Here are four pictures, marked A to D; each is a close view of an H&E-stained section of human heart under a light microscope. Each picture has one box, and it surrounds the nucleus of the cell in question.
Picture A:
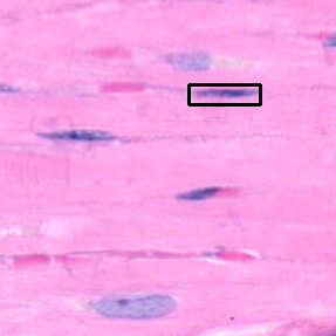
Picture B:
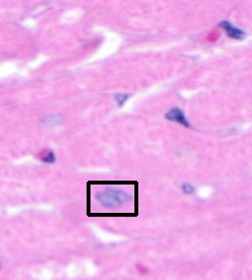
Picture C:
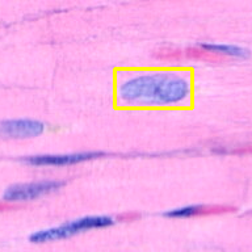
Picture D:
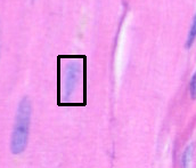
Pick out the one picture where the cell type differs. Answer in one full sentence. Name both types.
Unlike the rest, which show cardiomyocytes, picture A shows an endothelial cell.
